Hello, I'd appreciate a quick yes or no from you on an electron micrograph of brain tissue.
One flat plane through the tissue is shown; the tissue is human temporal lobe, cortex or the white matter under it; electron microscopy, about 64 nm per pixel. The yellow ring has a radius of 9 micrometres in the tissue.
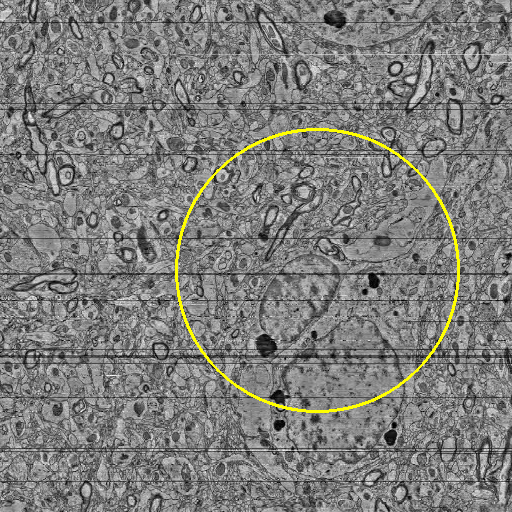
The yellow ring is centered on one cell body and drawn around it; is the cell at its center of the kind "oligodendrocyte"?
yes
